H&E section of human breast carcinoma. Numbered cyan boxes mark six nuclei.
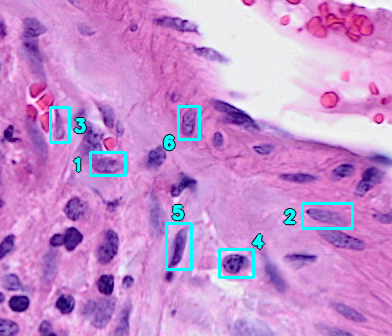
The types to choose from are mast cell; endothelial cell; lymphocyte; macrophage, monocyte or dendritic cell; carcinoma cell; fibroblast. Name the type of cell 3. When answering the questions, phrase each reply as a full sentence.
As for number 3, that cell is an endothelial cell.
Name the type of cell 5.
The cell indicated by marker 5 is a fibroblast in this section.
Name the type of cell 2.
Within this field of view, the cell labelled 2 is an endothelial cell.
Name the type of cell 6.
Cell 6 is classified as an endothelial cell.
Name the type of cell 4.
The cell indicated by marker 4 is a mast cell in this section.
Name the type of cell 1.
The cell carrying label 1 is identified as an endothelial cell.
